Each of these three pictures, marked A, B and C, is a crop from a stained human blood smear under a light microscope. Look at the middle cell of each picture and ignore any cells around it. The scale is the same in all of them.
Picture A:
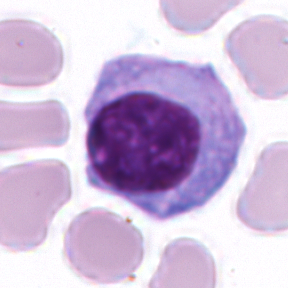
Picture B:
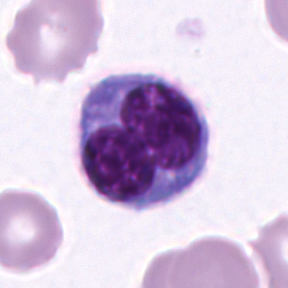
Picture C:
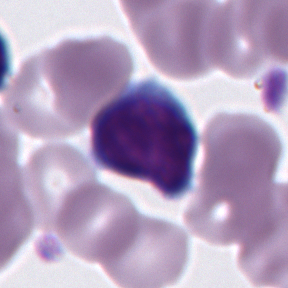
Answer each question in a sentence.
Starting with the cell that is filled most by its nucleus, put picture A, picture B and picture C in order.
From the most filled to the least, the order is C, B, A.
